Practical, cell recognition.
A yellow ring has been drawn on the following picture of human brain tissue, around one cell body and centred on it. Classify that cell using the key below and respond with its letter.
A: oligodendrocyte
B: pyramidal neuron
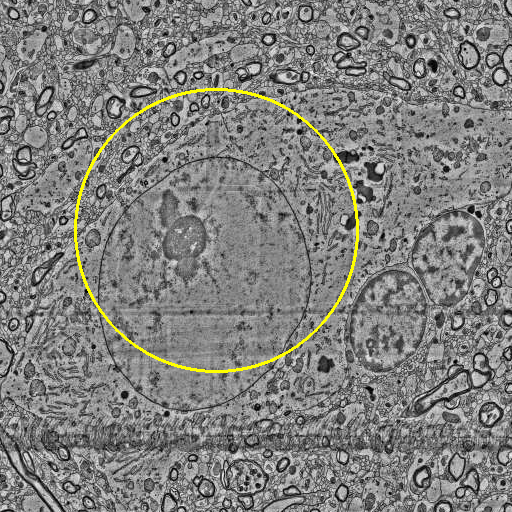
B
